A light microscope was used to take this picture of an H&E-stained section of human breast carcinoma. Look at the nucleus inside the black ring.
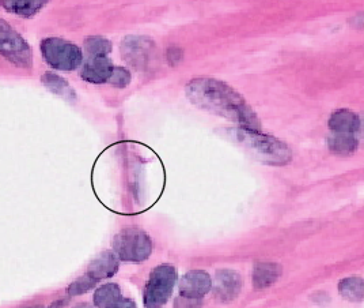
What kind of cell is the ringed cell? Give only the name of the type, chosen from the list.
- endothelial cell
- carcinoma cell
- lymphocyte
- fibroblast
endothelial cell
